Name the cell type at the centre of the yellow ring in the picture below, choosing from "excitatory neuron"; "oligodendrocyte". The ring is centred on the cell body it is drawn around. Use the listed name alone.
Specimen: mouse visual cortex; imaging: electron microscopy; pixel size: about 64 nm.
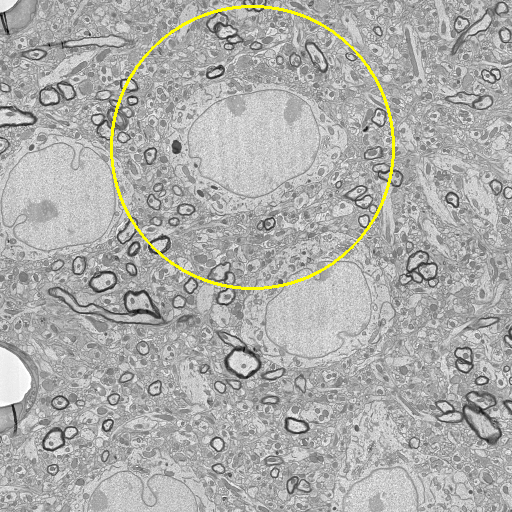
excitatory neuron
